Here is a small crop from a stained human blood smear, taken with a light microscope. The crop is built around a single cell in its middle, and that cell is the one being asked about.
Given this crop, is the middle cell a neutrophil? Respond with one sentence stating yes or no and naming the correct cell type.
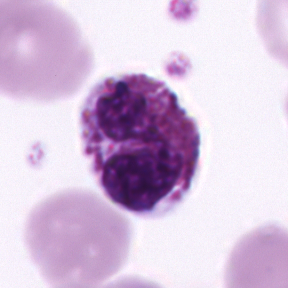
No, the centred cell is an eosinophil, and it is not a neutrophil.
